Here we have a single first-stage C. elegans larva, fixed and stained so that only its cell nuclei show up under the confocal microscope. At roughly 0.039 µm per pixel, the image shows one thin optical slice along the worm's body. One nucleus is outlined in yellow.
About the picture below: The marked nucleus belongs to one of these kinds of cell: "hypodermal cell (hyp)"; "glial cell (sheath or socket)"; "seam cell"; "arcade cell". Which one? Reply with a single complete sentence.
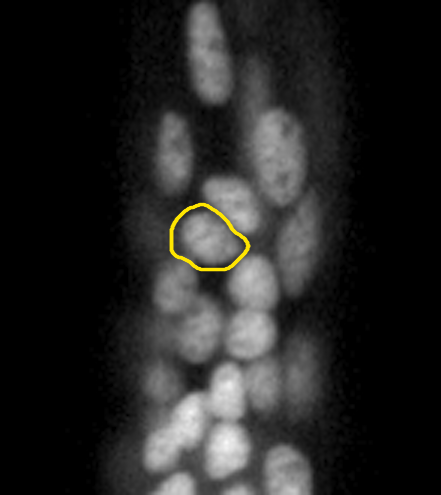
The marked nucleus belongs to a hypodermal cell (hyp).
